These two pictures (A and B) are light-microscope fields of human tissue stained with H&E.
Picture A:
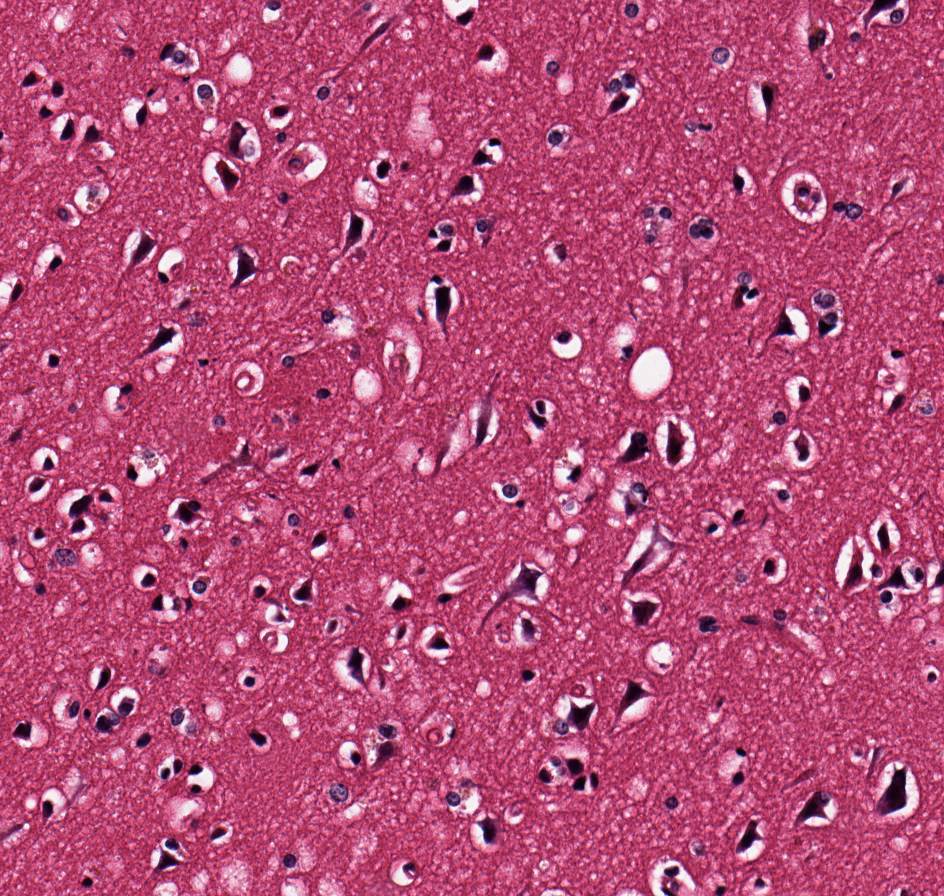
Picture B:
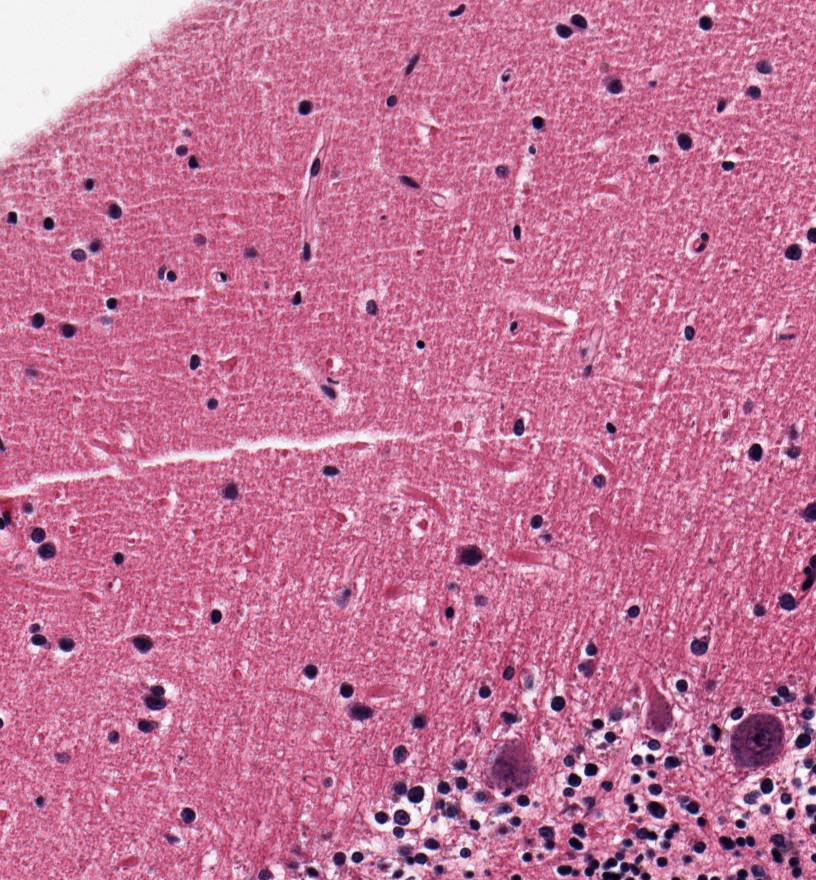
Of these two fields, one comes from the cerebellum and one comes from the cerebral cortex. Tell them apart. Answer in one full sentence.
It is picture A that comes from the cerebral cortex, and picture B that comes from the cerebellum.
